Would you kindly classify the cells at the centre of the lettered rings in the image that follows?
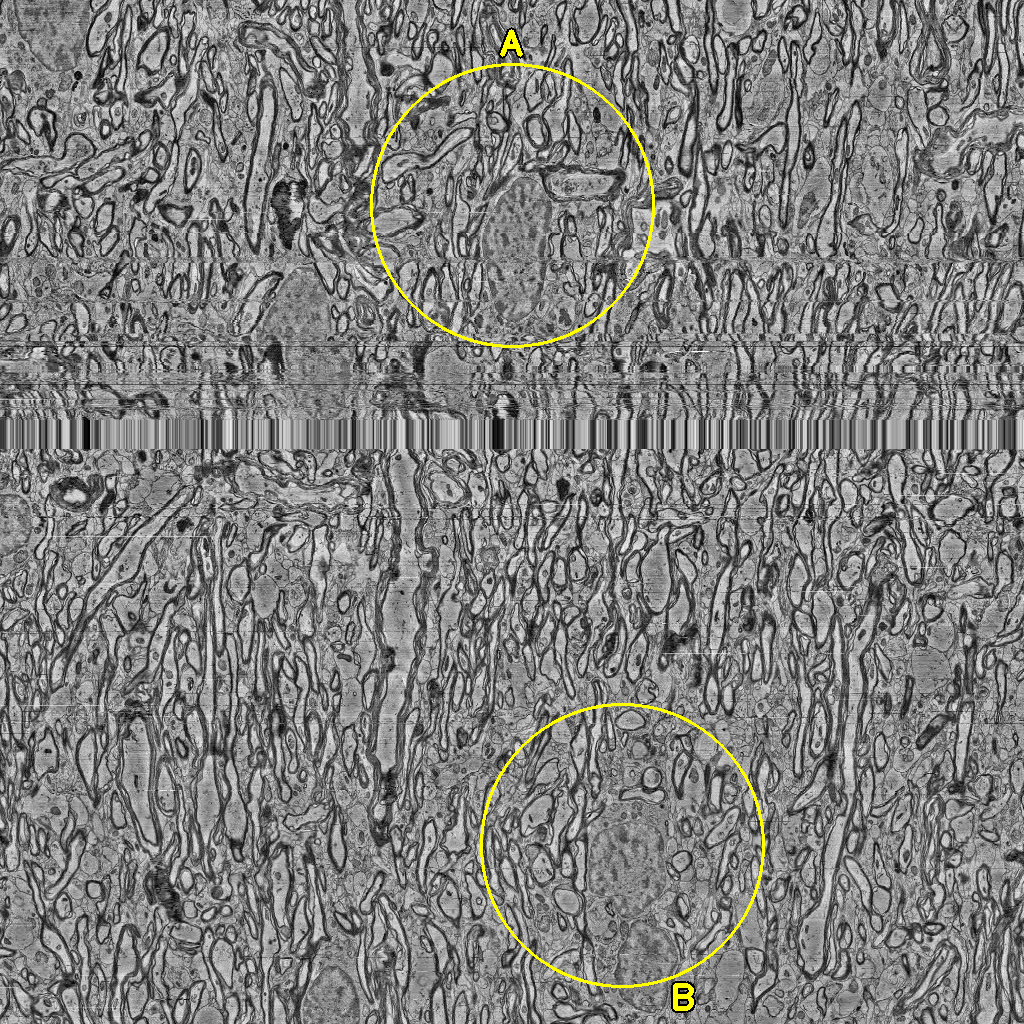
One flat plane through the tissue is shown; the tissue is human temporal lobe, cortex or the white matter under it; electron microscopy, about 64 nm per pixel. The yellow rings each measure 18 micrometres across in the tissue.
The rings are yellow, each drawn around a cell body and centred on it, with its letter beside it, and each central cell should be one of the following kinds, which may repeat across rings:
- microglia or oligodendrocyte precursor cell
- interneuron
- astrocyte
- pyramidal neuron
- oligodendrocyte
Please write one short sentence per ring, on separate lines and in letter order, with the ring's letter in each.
The kind of cell at the centre of ring A is a microglial cell or oligodendrocyte precursor cell.
The kind of cell at the centre of ring B is an oligodendrocyte.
